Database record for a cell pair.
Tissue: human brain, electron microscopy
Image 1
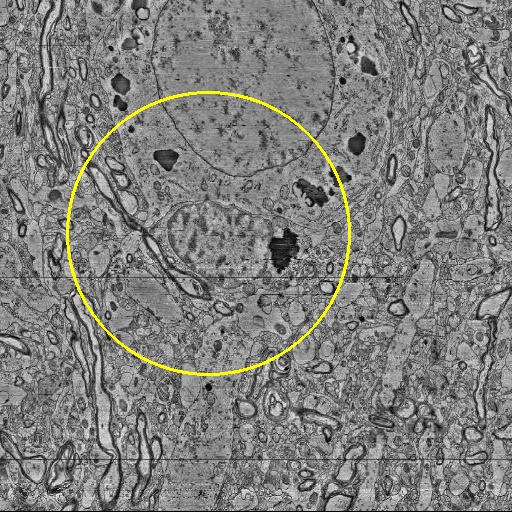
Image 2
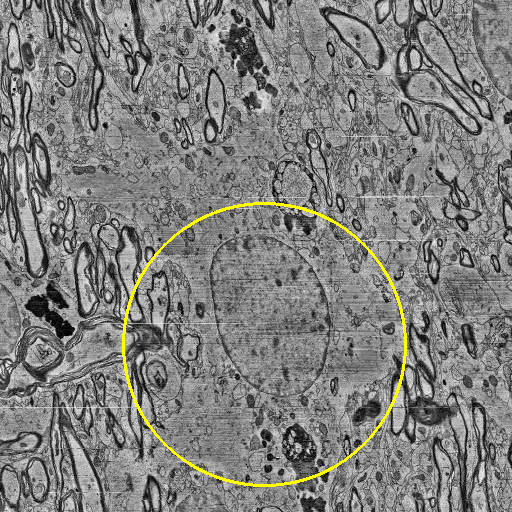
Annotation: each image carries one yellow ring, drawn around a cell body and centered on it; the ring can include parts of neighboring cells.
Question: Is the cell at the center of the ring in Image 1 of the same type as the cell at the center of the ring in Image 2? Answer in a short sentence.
No, the cells are of two types.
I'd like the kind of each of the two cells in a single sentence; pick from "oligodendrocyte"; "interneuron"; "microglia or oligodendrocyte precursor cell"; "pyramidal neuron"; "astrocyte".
The first ring marks an oligodendrocyte, and the second ring marks an astrocyte.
